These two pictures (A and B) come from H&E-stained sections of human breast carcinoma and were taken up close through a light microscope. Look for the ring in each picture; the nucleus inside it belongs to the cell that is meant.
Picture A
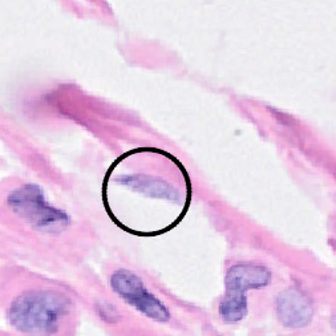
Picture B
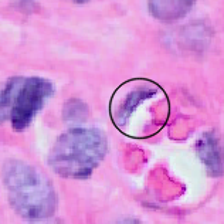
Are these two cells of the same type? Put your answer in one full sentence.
No, picture A shows a fibroblast and picture B shows an endothelial cell.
